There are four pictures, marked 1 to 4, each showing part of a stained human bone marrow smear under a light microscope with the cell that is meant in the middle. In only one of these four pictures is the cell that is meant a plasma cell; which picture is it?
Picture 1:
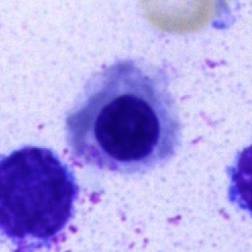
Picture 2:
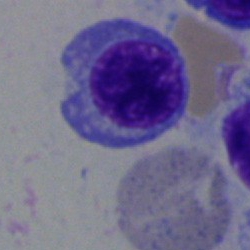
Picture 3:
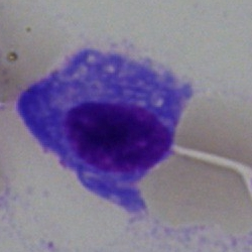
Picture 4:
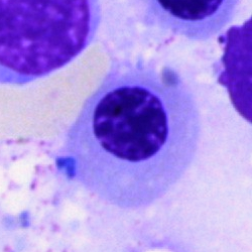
3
